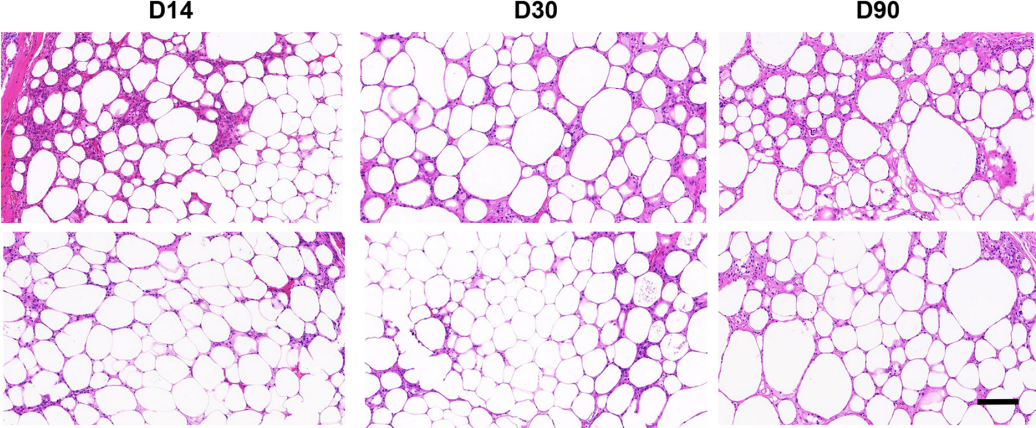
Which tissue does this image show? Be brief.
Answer: Fat.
